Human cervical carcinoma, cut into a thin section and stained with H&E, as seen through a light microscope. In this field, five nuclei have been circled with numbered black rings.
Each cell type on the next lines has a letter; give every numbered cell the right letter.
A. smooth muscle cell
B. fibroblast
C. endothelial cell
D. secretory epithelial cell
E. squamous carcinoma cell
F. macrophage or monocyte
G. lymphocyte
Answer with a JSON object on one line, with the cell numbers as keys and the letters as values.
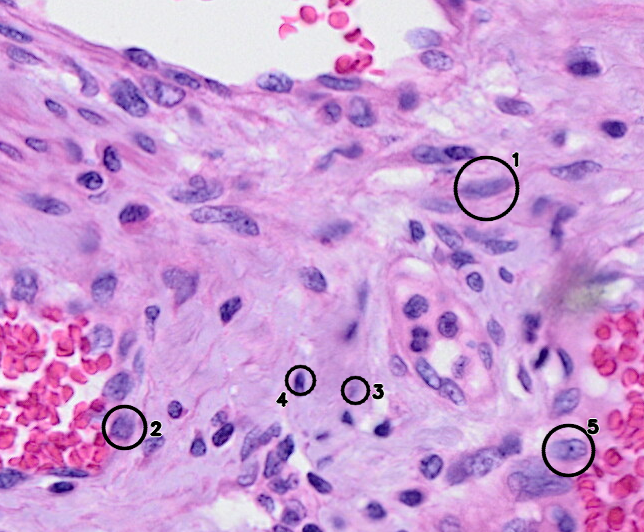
{"1": "B", "2": "C", "3": "B", "4": "B", "5": "C"}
